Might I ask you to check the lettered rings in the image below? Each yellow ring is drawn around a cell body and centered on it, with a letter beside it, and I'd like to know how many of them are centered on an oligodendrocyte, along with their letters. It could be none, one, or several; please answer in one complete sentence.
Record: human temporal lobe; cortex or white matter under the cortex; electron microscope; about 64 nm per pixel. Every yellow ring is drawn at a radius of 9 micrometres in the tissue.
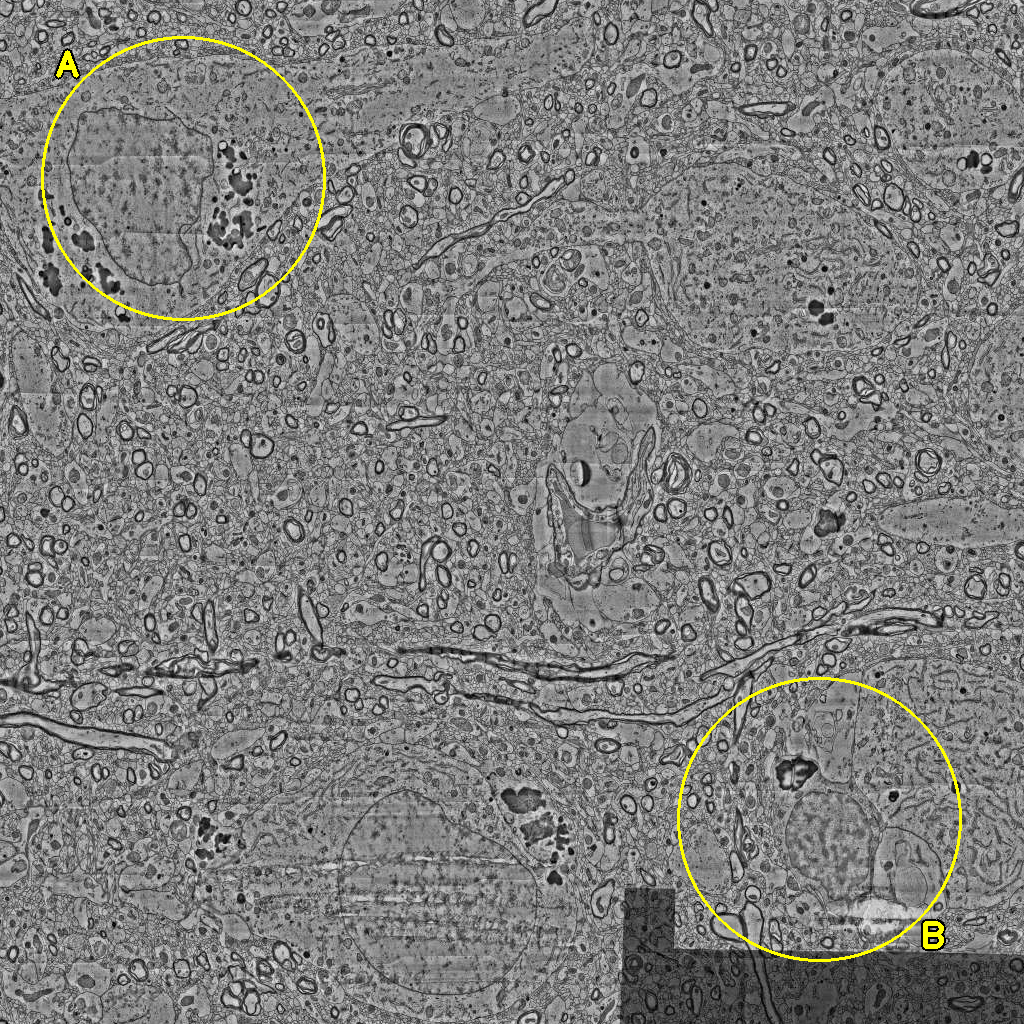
There is just one ring centred on an oligodendrocyte, and the letter beside it is B.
